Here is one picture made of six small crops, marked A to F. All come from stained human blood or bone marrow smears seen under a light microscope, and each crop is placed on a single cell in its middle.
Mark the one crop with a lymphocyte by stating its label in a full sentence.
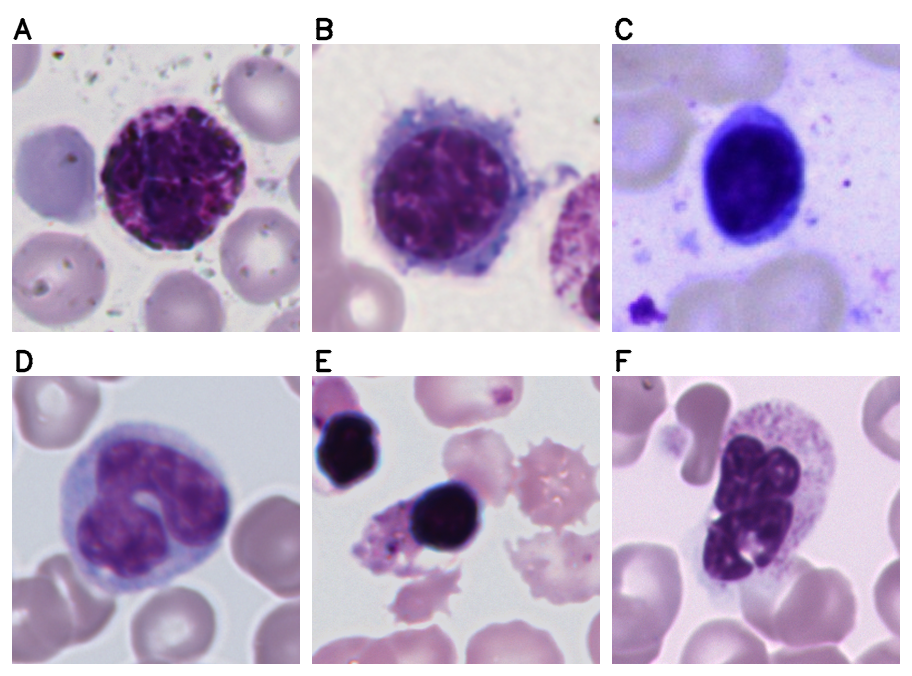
Crop C, of the crops presented, is the one showing a lymphocyte.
